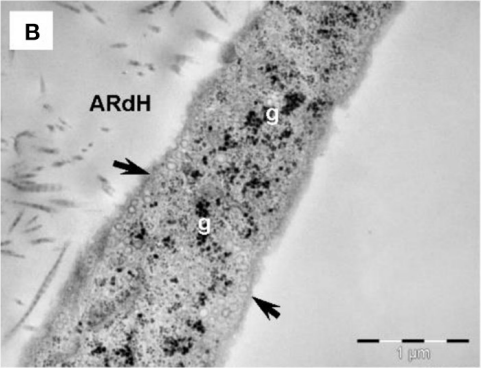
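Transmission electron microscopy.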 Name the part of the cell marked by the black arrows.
Caveolae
